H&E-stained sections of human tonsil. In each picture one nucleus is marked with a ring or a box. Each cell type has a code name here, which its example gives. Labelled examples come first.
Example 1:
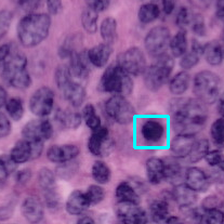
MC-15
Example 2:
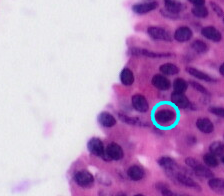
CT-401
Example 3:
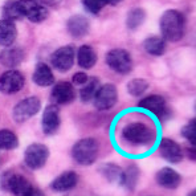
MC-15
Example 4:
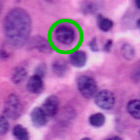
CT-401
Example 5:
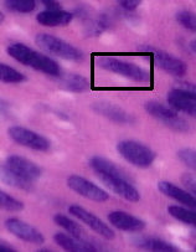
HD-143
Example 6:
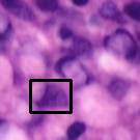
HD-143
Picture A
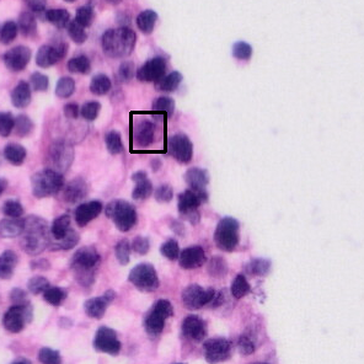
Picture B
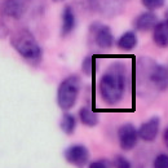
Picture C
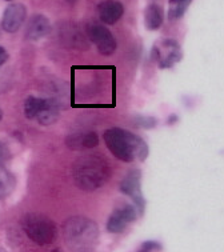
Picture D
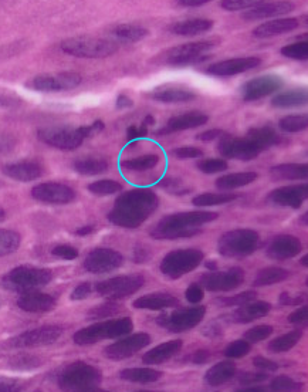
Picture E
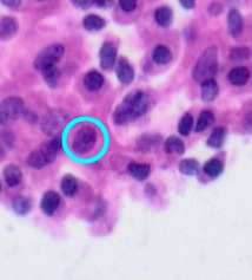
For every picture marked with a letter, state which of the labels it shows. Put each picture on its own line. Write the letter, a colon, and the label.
A: MC-15
B: MC-15
C: HD-143
D: HD-143
E: HD-143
